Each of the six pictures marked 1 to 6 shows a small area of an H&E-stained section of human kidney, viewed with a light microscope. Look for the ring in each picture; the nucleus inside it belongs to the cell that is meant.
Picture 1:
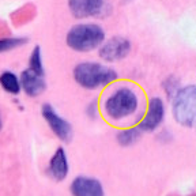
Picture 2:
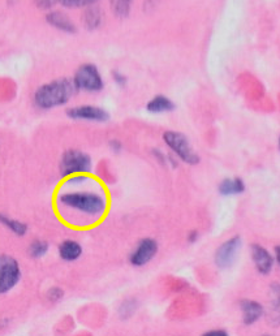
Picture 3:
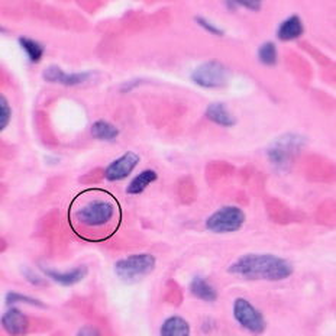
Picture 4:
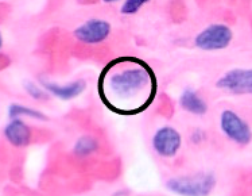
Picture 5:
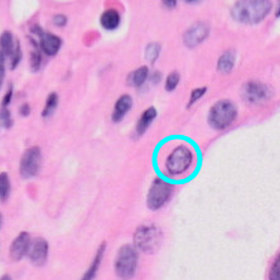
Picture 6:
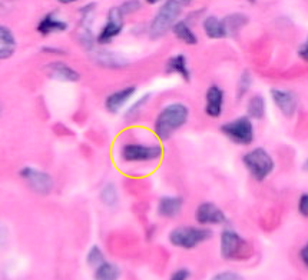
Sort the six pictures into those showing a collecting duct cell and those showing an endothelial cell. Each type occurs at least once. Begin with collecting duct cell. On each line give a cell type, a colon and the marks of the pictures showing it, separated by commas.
collecting duct cell: 1, 5
endothelial cell: 2, 3, 4, 6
